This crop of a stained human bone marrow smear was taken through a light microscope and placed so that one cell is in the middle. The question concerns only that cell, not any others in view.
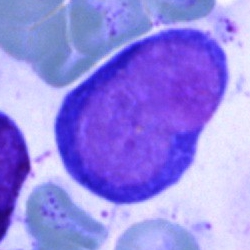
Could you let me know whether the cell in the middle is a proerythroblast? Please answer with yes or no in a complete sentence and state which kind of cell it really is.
Yes, the cell that the crop is centred on is a proerythroblast.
